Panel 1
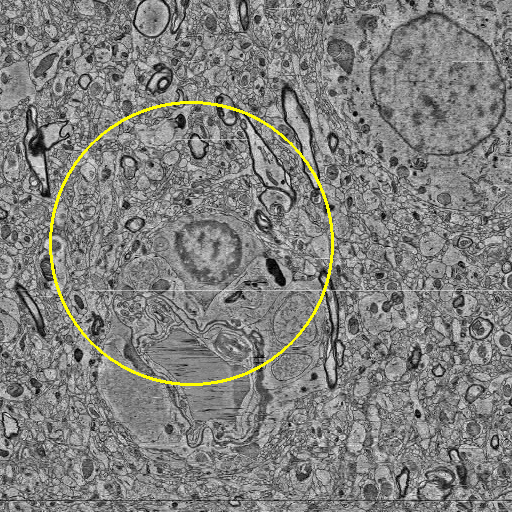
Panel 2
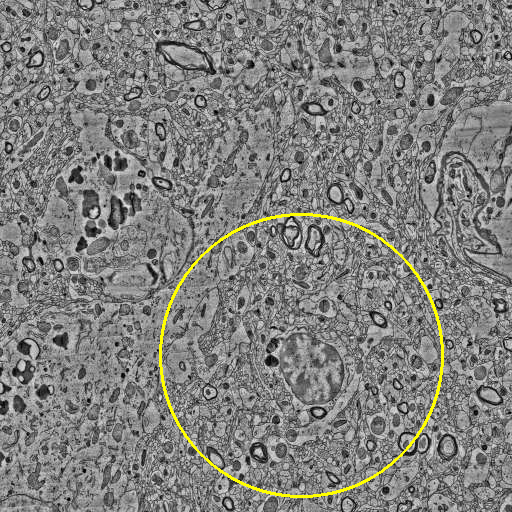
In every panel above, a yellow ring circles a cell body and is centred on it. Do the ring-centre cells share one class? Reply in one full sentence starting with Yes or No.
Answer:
No, the two cells at the ring centres in the panels belong to two classes.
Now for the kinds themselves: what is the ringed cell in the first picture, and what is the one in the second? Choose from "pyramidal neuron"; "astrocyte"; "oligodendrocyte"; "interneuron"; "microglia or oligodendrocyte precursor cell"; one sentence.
Here the first cell is an oligodendrocyte and the second cell is a microglial cell or oligodendrocyte precursor cell.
